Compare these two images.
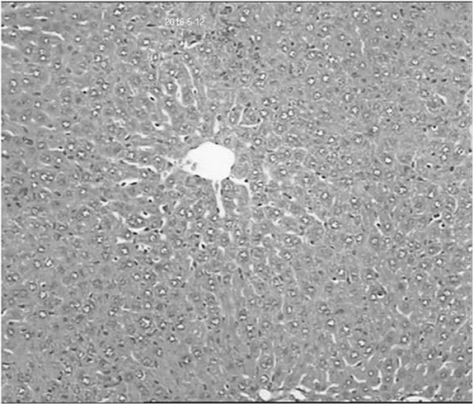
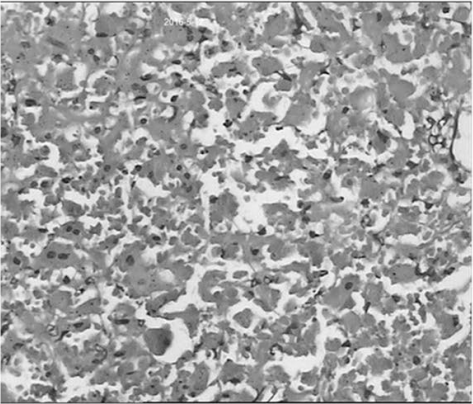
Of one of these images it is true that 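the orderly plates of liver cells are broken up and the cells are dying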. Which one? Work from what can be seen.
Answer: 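The second image. Second image: cells form irregular fragments with many lacking distinct nuclei, separated by wide ragged spaces. First image: cells with round nuclei lie in continuous plates radiating from a central vessel.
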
